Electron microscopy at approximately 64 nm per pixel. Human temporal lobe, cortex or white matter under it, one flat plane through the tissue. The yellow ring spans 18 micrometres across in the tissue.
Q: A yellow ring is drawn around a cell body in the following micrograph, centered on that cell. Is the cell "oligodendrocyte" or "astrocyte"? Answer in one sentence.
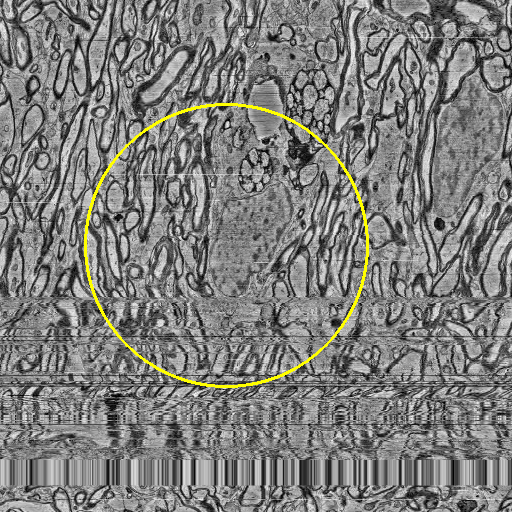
The cell in the center of the ring is an astrocyte.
